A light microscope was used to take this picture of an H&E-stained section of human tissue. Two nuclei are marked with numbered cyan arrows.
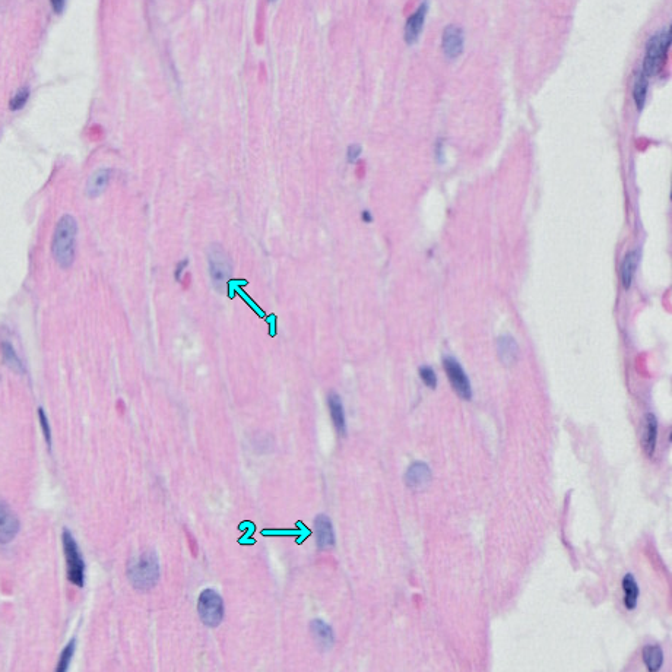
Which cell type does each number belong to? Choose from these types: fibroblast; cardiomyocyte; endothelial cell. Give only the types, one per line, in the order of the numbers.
cardiomyocyte
endothelial cell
